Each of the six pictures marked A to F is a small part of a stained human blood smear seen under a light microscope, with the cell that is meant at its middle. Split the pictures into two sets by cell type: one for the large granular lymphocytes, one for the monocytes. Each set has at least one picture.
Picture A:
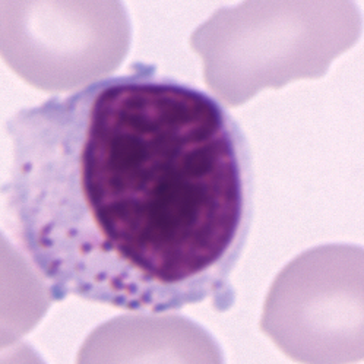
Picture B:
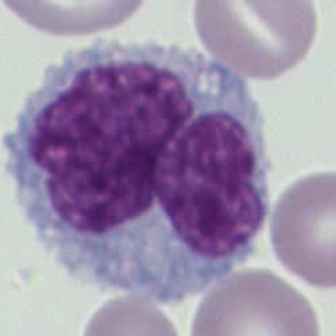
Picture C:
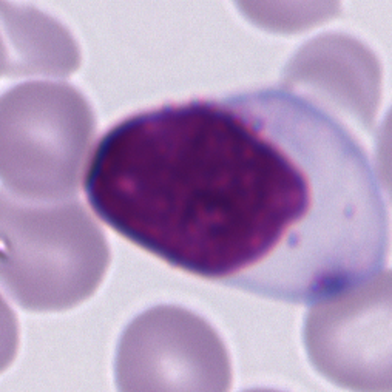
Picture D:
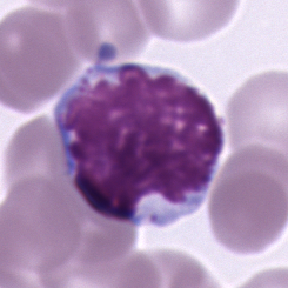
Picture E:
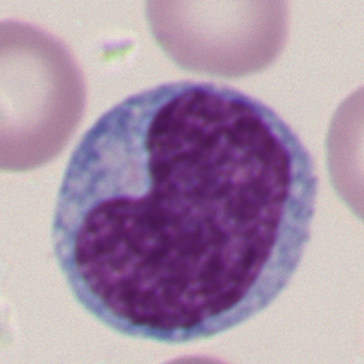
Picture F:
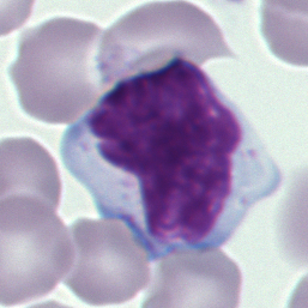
A: large granular lymphocyte
B: monocyte
C: large granular lymphocyte
D: large granular lymphocyte
E: monocyte
F: large granular lymphocyte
